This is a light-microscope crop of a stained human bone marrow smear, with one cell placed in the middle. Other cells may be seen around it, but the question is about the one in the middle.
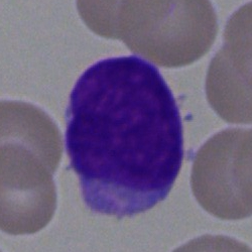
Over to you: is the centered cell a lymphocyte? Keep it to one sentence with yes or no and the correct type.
No, the identification should read a blast, not a lymphocyte, for the central cell.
